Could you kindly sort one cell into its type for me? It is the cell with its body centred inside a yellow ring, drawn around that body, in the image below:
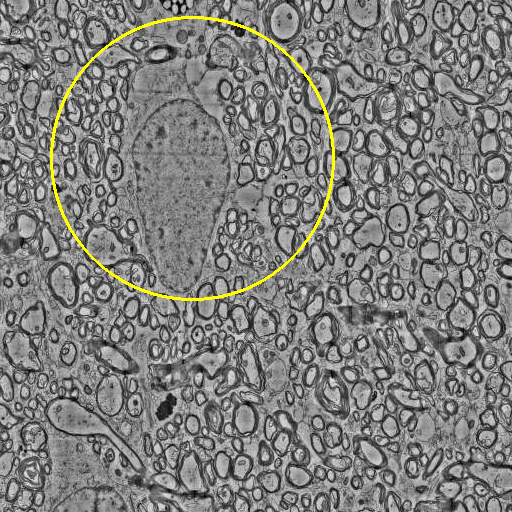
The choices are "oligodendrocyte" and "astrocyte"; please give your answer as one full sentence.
The cell whose body lies centred in the yellow ring here is an astrocyte.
